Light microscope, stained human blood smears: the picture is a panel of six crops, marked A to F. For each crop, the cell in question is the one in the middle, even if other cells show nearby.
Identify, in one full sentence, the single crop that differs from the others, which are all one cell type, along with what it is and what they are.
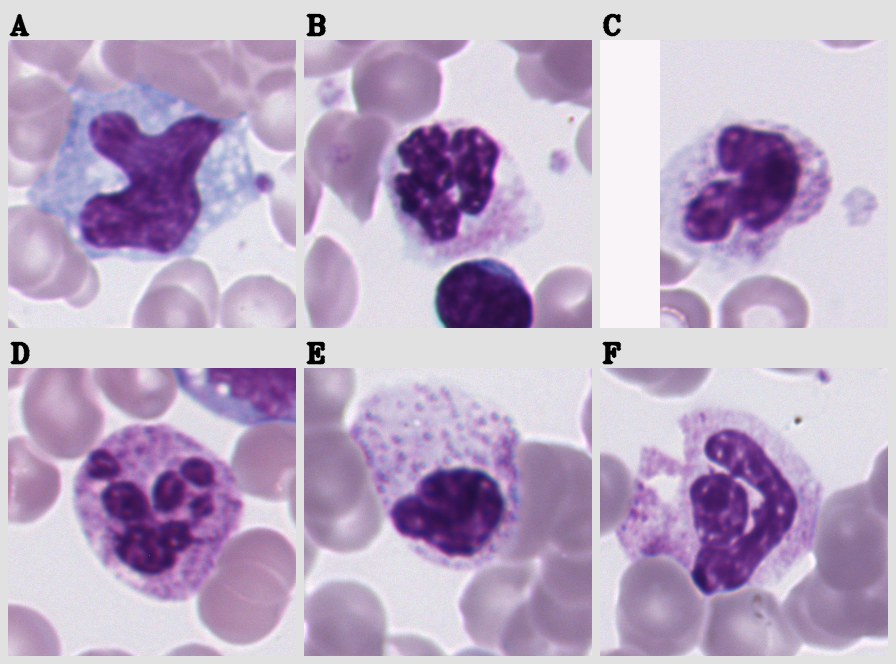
The rest of the crops show segmented neutrophils; crop A is the one showing a monocyte.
